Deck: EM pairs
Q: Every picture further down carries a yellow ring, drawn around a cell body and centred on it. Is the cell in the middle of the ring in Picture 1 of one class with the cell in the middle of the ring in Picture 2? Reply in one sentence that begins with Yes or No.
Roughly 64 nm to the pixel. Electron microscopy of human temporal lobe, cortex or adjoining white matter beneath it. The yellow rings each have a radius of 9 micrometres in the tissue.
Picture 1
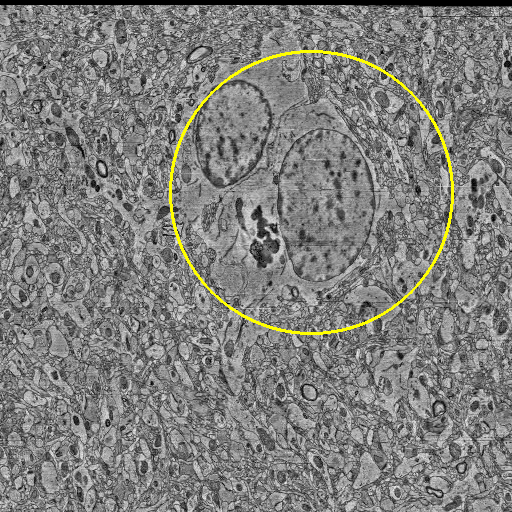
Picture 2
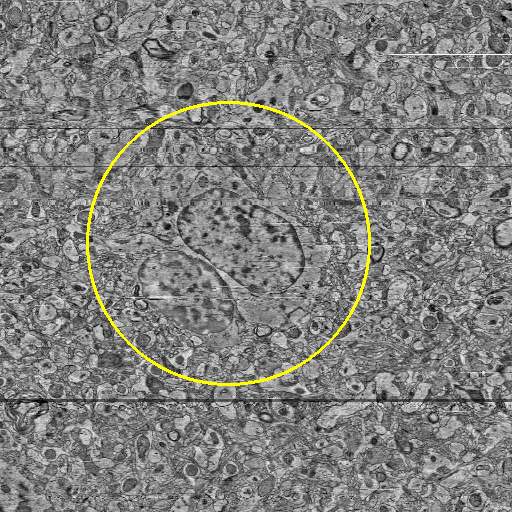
Yes, the cell centred in the ring of Picture 1 and the one in Picture 2 belong to one class.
